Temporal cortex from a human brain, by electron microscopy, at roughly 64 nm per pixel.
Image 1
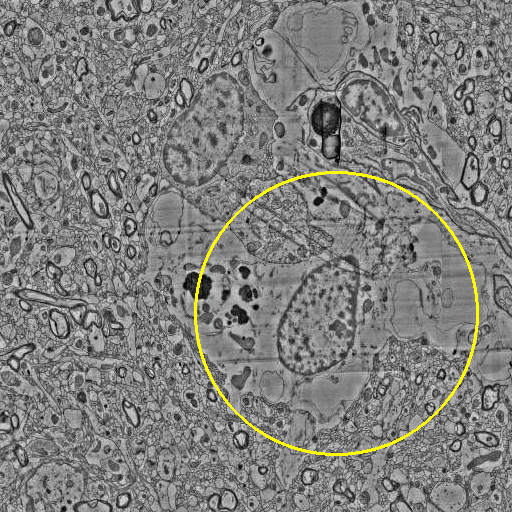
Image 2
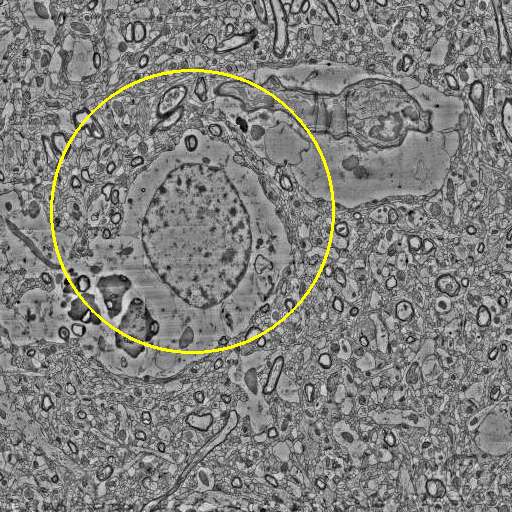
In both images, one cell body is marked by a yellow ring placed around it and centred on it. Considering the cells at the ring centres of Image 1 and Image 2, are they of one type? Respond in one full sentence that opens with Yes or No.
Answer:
Yes, a single type applies to the ring-centred cells of both Image 1 and Image 2.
